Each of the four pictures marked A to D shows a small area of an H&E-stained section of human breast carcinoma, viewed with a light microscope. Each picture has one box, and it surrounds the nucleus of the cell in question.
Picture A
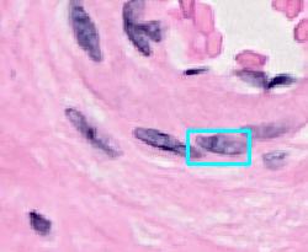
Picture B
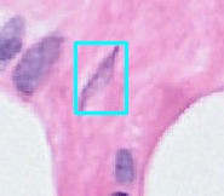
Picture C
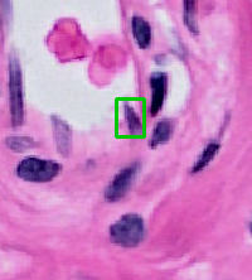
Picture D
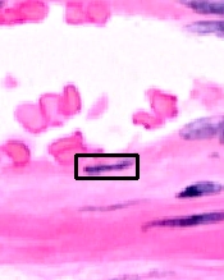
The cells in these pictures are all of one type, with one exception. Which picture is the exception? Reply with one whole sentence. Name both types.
Picture B is the odd one out: it shows a fibroblast, while the others show endothelial cells.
